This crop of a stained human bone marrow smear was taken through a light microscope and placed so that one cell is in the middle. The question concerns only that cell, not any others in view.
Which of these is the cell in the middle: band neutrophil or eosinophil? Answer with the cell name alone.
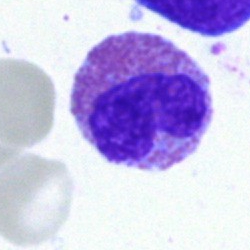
eosinophil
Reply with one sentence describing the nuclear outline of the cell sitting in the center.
The nucleus amounts to one compact mass with a round, oval or kidney-shaped outline.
